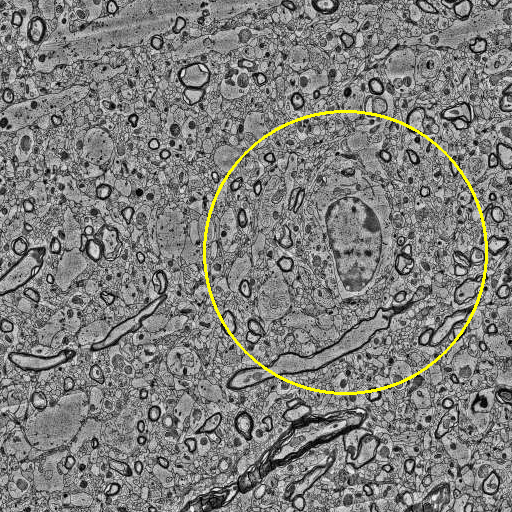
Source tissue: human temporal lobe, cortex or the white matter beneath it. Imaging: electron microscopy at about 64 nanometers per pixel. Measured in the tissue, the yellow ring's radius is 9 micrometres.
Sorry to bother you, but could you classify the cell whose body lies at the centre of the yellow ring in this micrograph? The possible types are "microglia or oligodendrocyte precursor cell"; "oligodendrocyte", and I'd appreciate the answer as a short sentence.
The ringed cell body is that of a microglial cell or oligodendrocyte precursor cell.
